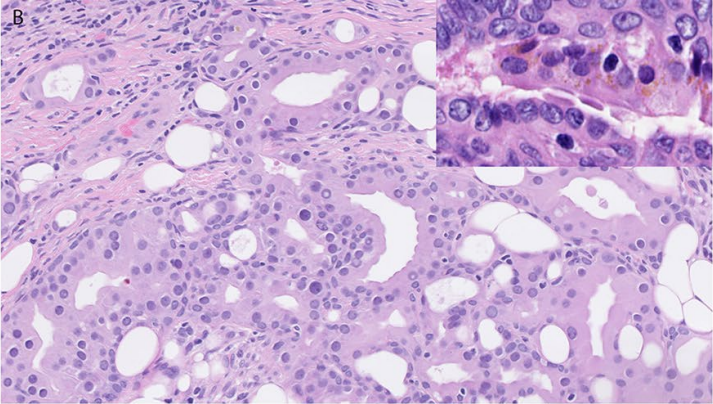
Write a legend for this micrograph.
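This is a glandular tumour in which many closely packed glands with open, empty-looking lumens are lined by cells with abundant pink, eosinophilic cytoplasm. The nuclei are round to oval, with mild variation in size and shape, and lie in the cells facing the lumens. Thin strands of fibrous stroma separate groups of glands. The inset shows golden-brown granular pigment within the cytoplasm of some cells.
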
